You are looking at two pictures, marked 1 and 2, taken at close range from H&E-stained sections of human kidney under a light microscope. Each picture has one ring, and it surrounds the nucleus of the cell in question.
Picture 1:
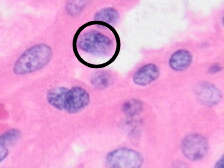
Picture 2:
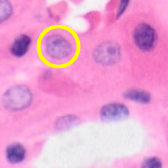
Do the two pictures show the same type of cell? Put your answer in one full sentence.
No, the types are not the same, since picture 1 shows a “loop of Henle or distal tubule cell” and picture 2 a proximal tubule cell.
